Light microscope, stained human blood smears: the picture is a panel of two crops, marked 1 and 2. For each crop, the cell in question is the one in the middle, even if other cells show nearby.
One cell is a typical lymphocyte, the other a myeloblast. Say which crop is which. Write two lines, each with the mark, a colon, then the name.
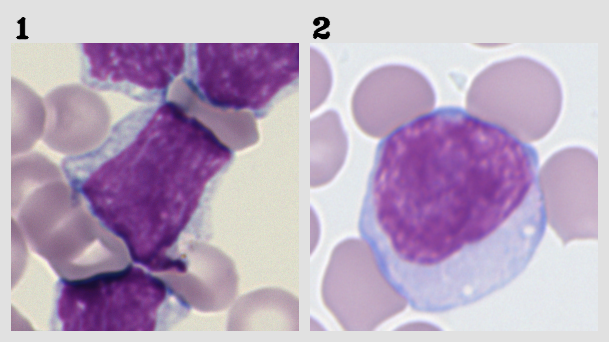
1: typical lymphocyte
2: myeloblast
